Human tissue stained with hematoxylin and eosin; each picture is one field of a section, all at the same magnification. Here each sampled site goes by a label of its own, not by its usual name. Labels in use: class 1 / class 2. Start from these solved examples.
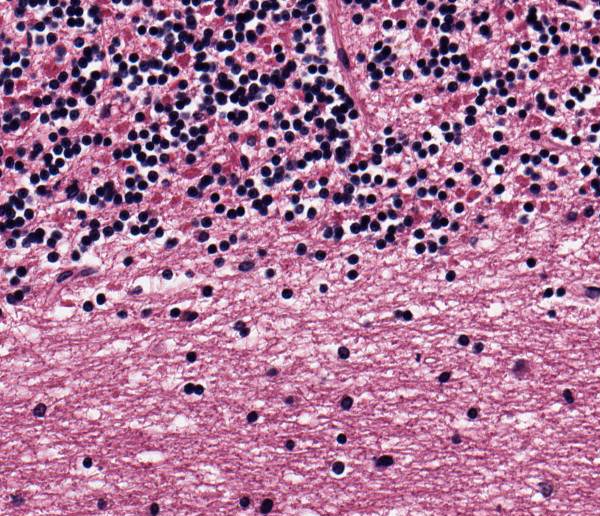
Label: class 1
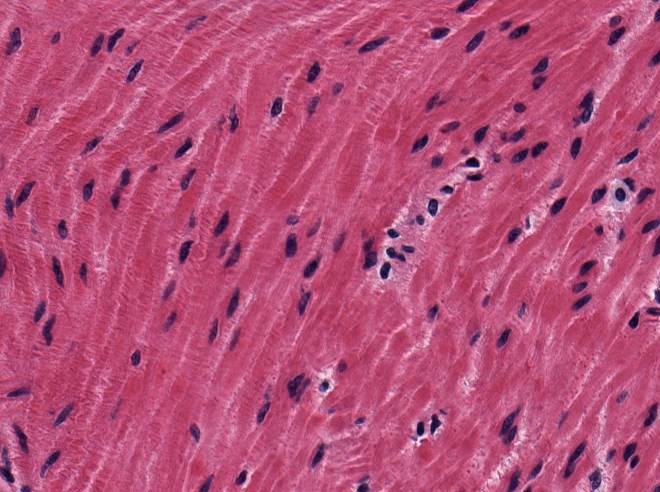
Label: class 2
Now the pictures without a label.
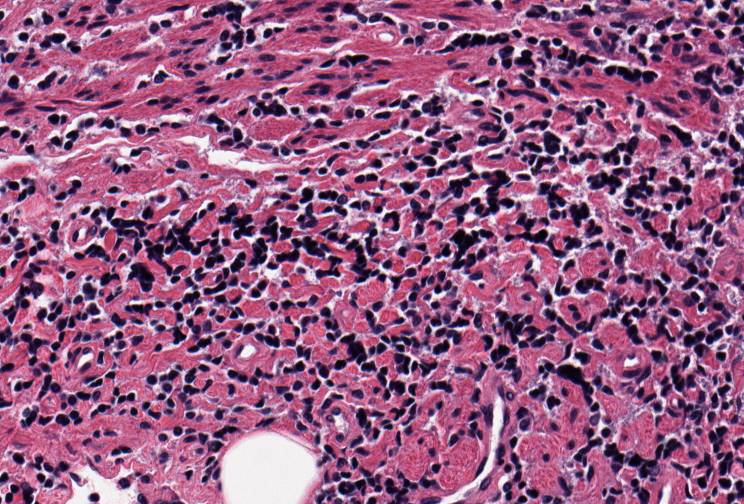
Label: class 2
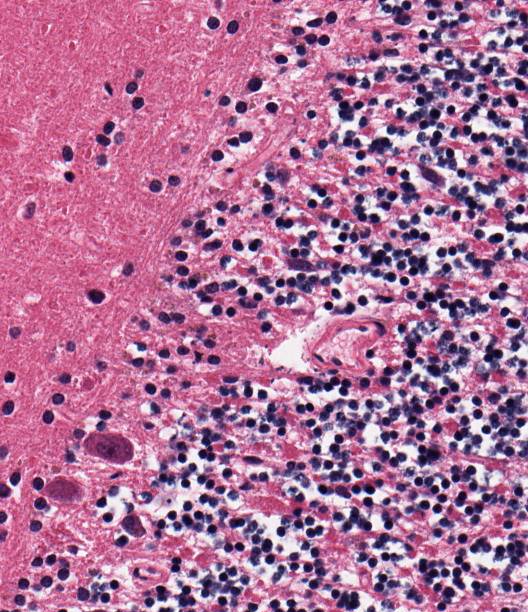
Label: class 1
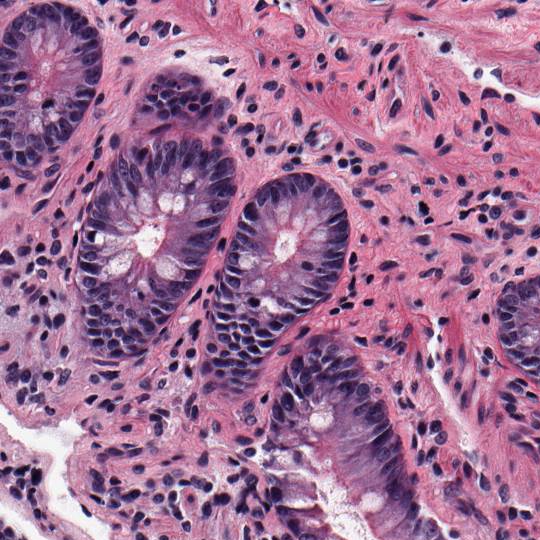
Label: class 2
